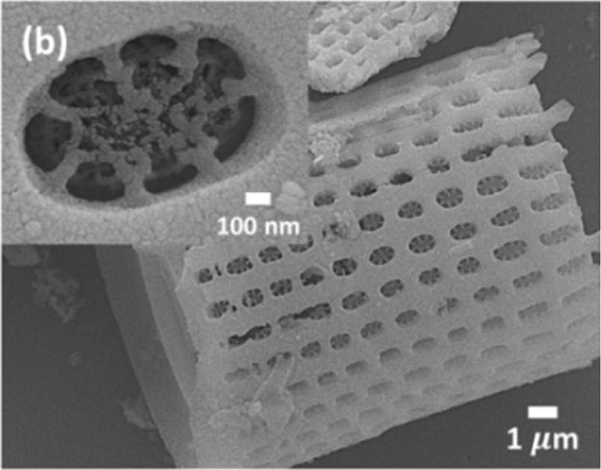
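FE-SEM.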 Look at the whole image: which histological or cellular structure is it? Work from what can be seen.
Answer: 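Its surface is perforated by regular rows of oval pores. The inset shows a single pore divided into smaller openings.
Hence: diatom frustule.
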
